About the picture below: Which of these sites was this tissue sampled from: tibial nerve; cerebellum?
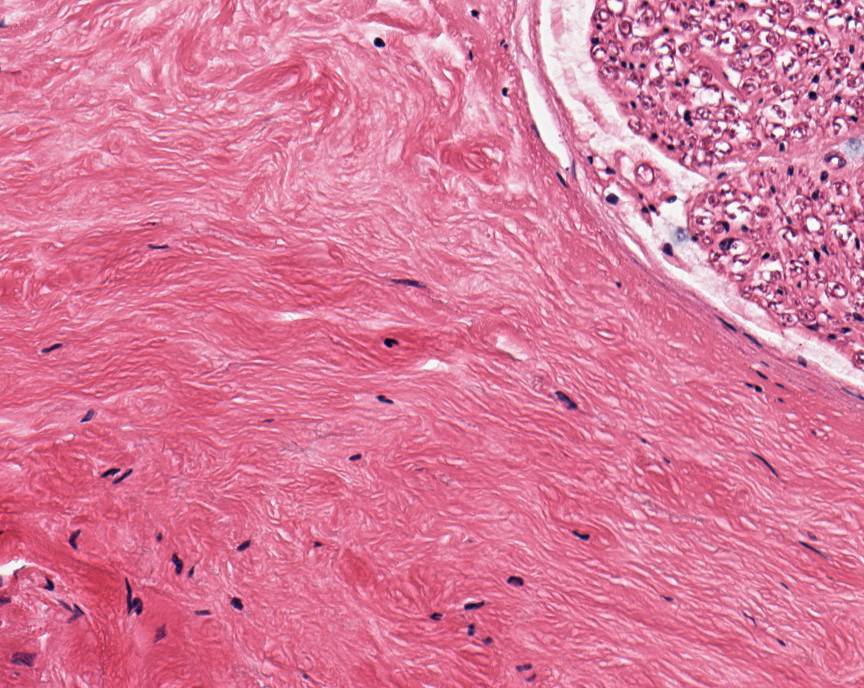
tibial nerve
